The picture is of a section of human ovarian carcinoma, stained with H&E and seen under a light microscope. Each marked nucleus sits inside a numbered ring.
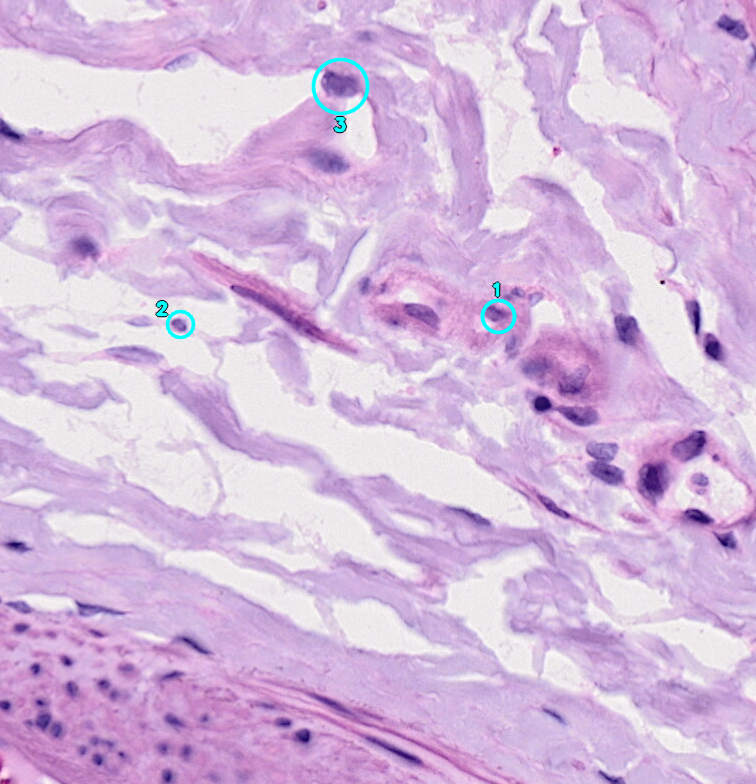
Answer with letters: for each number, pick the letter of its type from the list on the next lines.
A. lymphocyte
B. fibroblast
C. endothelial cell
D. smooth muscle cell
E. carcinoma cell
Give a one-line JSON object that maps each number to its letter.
{"1": "C", "2": "A", "3": "C"}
